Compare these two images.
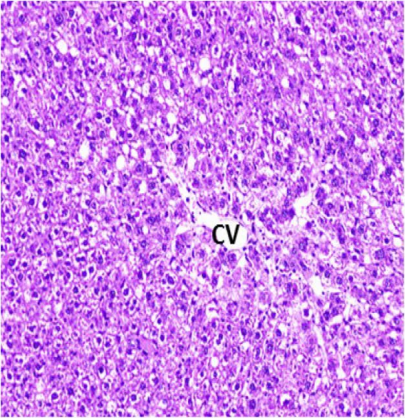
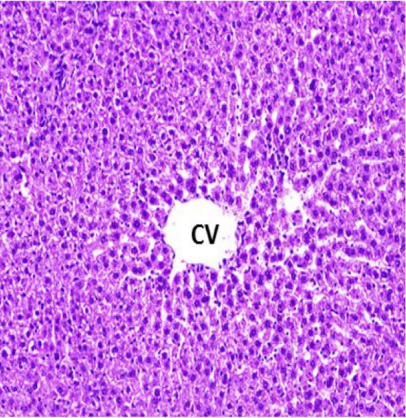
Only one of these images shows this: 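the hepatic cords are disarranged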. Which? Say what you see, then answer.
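First image: the cell rows around the central vessel are irregular and broken up by clear spaces. Second image: orderly cell rows radiate from an open central vessel.
Hence: the first image.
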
